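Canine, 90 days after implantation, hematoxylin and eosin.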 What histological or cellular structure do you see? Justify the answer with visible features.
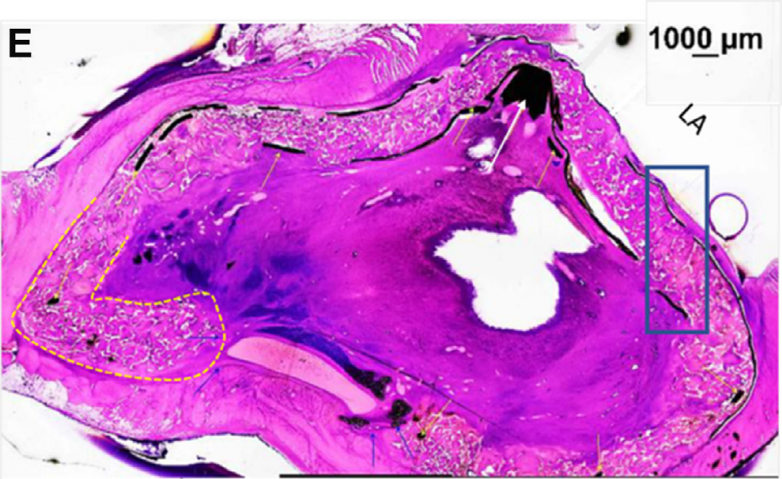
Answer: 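The center of the section is filled by a large, dense, pink mass. The pink mass has darker purple zones of cell infiltration. It is enclosed by a band of lacy material bordered by thin black lines. So: organized thrombus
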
